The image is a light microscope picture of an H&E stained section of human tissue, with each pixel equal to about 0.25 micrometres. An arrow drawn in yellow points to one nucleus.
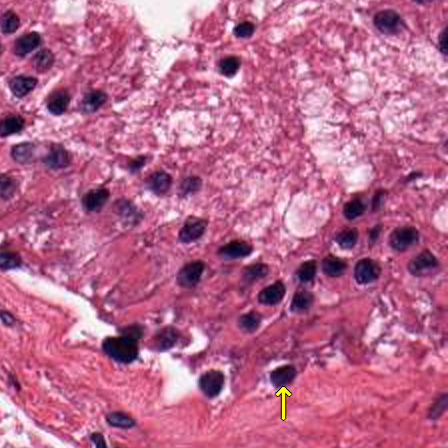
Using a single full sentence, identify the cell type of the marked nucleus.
The mark indicates the nucleus of a spermatogonium.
